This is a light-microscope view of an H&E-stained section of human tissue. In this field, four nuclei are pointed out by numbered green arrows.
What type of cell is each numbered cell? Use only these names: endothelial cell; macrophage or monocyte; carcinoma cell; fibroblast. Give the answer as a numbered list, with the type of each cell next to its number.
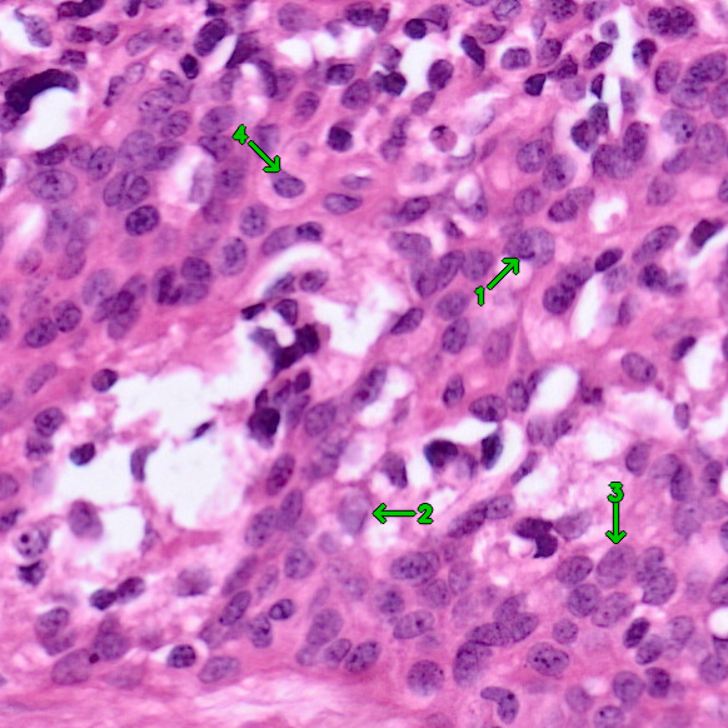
1. carcinoma cell
2. carcinoma cell
3. carcinoma cell
4. macrophage or monocyte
